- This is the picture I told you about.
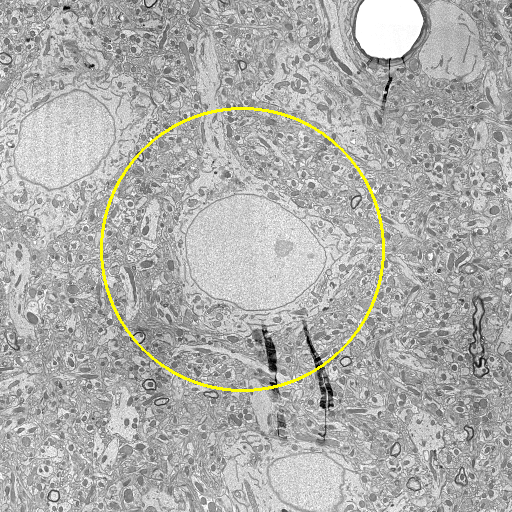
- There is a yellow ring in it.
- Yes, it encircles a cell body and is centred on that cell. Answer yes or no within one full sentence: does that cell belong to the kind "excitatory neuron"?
Yes, that cell, the one the yellow ring is centred on, belongs to this kind.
